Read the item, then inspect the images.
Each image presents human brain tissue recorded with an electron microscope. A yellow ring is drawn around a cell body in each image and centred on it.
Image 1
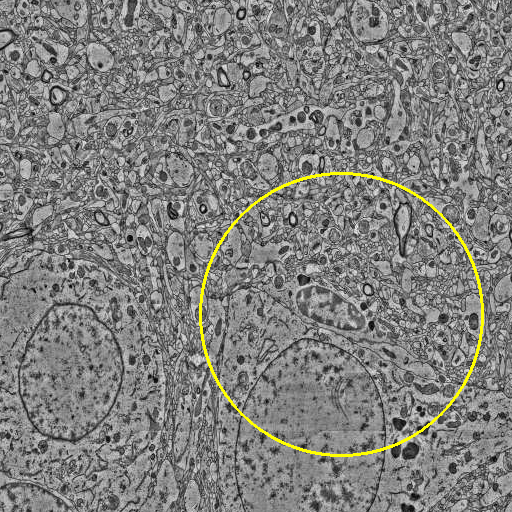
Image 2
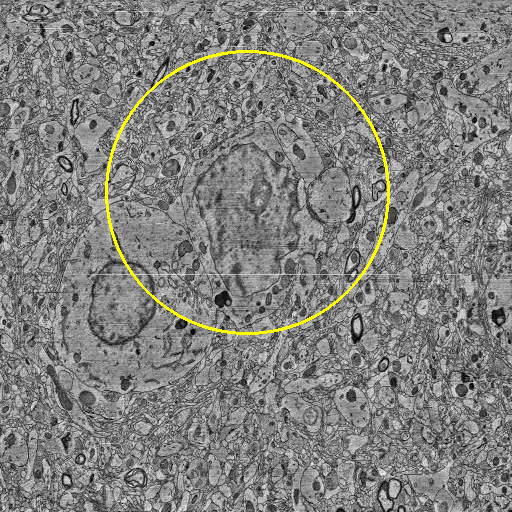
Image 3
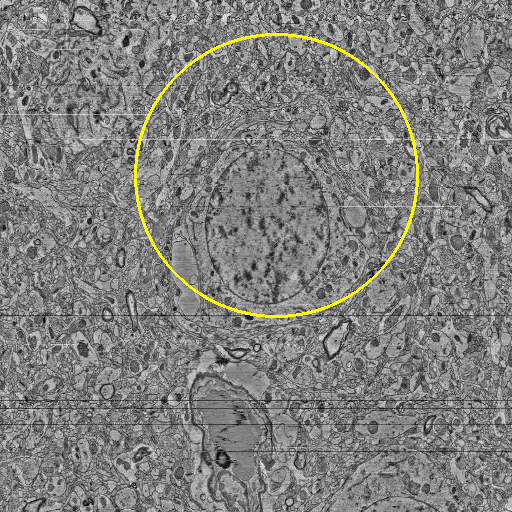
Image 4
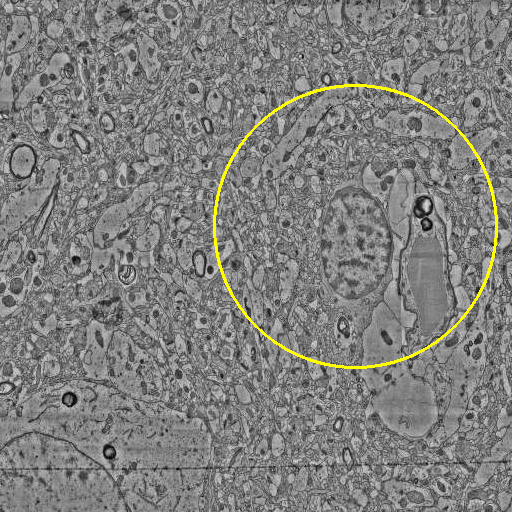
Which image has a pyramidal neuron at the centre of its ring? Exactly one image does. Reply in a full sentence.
The ring in Image 3 is centred on it.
